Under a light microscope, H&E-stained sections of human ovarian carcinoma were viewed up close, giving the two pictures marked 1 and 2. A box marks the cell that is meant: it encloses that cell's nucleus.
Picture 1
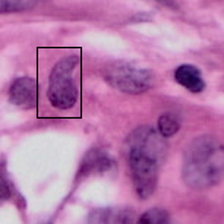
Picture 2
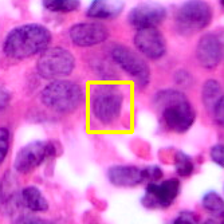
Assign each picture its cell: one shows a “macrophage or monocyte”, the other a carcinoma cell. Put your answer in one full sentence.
In picture 1 the cell is a “macrophage or monocyte”; in picture 2, a carcinoma cell.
